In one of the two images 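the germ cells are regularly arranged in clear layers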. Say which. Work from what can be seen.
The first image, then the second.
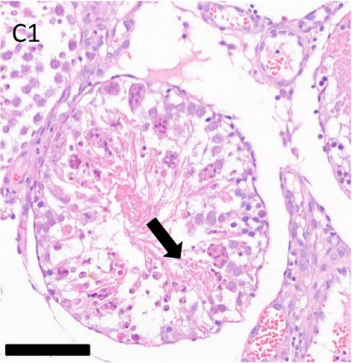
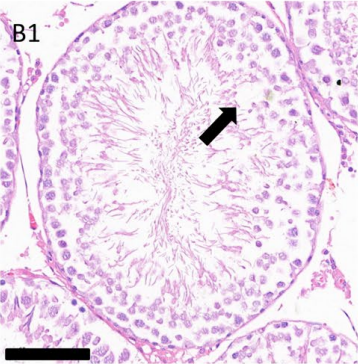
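First image: the tubule is irregular, with jumbled cells, vacuoles and eosinophilic debris and no distinct layering. Second image: cells form concentric layers from the wall inward with tails radiating into a central lumen. On this evidence: the second image.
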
